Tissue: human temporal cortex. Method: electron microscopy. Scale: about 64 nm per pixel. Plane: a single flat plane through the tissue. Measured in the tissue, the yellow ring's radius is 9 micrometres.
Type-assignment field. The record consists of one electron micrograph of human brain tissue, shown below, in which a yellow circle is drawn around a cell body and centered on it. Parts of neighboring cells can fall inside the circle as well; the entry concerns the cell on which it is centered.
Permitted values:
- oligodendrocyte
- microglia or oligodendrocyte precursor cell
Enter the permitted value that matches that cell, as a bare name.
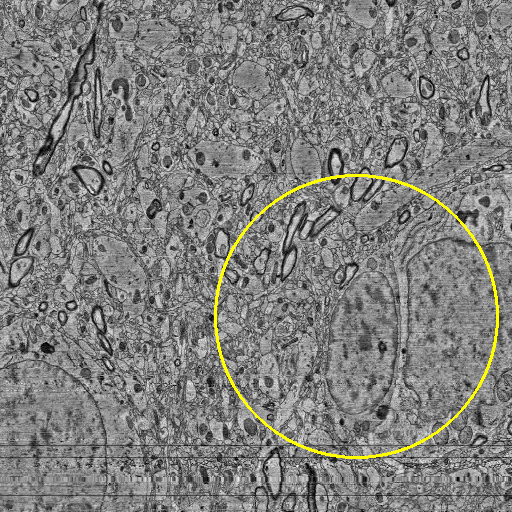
oligodendrocyte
